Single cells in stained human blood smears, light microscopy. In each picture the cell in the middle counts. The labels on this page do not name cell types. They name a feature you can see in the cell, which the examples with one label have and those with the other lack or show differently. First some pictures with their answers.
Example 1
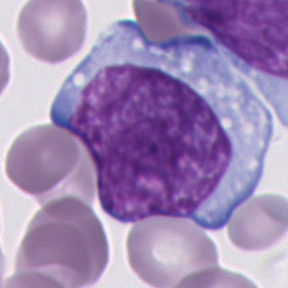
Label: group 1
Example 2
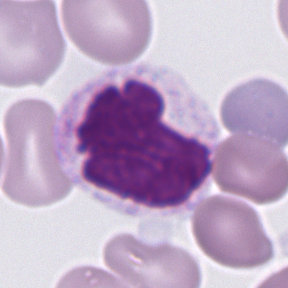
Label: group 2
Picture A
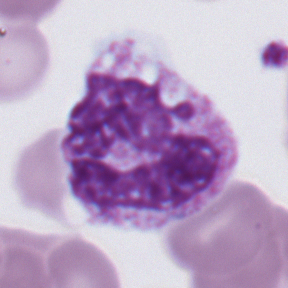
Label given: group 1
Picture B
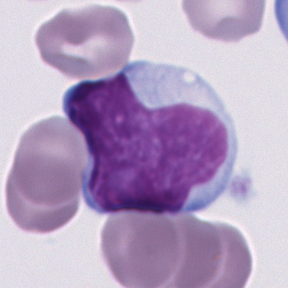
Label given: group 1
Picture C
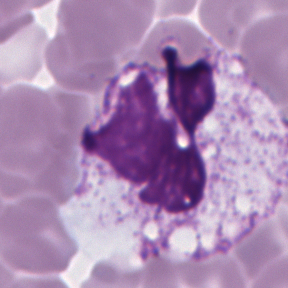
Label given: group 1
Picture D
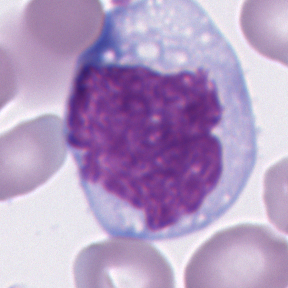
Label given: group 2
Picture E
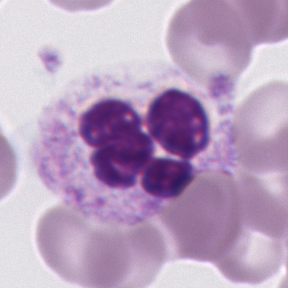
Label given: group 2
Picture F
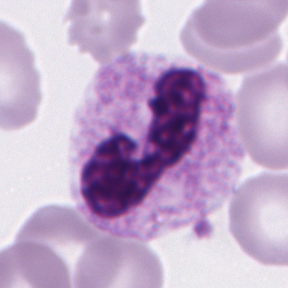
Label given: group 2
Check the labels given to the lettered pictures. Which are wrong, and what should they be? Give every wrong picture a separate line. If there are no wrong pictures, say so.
D: not group 2 but group 1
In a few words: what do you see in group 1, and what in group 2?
Seen in group 1: vacuoles present; seen in group 2: no vacuoles.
